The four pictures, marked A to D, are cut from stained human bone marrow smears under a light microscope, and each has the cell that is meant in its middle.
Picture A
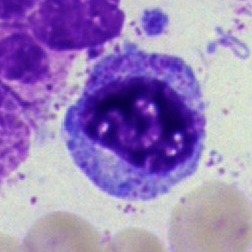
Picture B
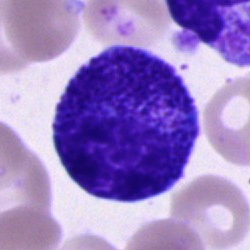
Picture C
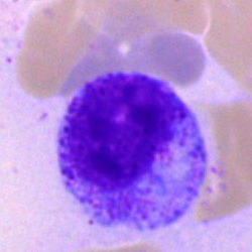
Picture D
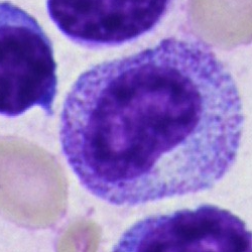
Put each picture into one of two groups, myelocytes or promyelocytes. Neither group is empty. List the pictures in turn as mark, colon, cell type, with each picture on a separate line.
A: myelocyte
B: promyelocyte
C: myelocyte
D: myelocyte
